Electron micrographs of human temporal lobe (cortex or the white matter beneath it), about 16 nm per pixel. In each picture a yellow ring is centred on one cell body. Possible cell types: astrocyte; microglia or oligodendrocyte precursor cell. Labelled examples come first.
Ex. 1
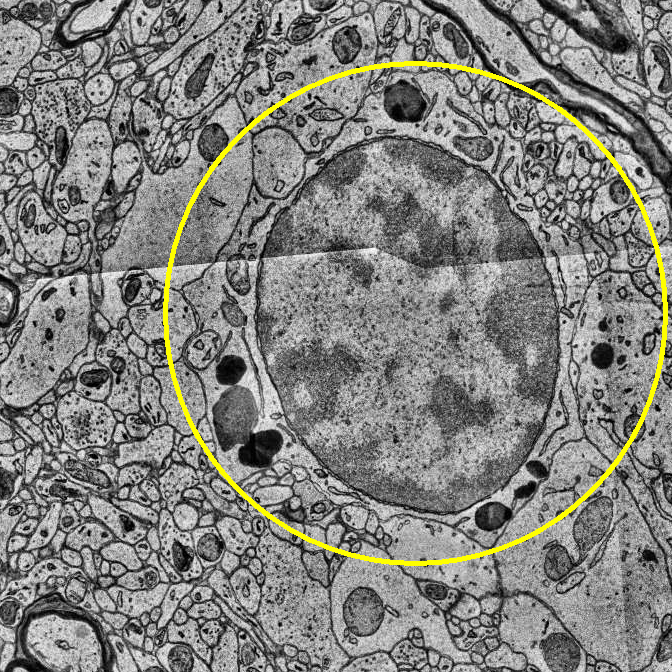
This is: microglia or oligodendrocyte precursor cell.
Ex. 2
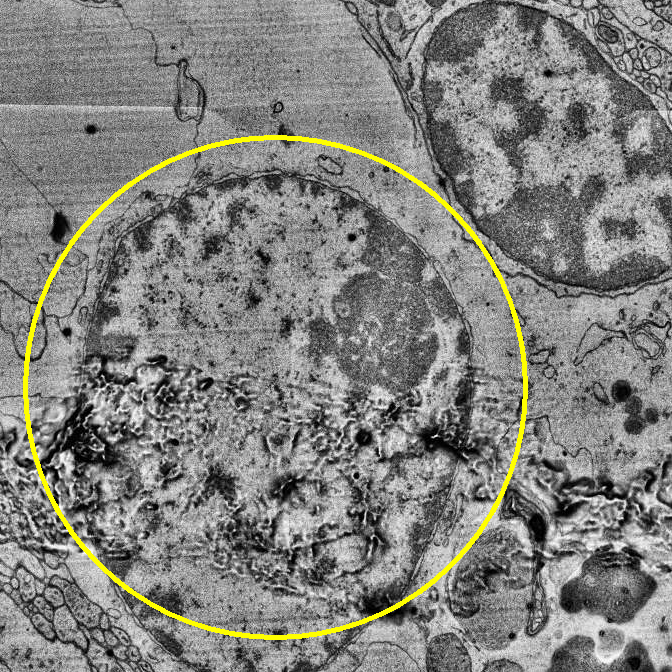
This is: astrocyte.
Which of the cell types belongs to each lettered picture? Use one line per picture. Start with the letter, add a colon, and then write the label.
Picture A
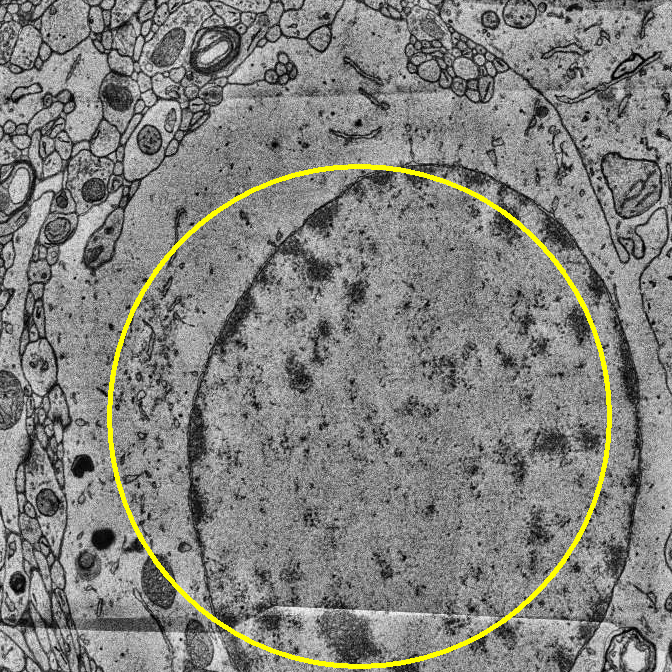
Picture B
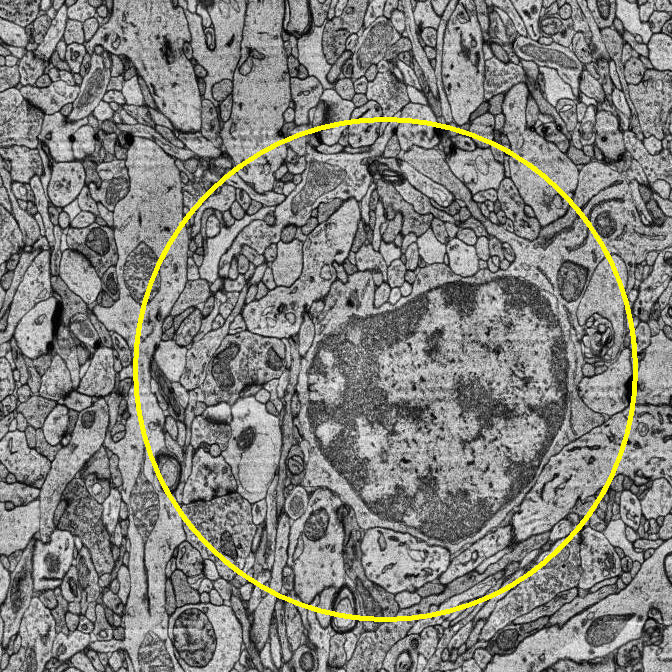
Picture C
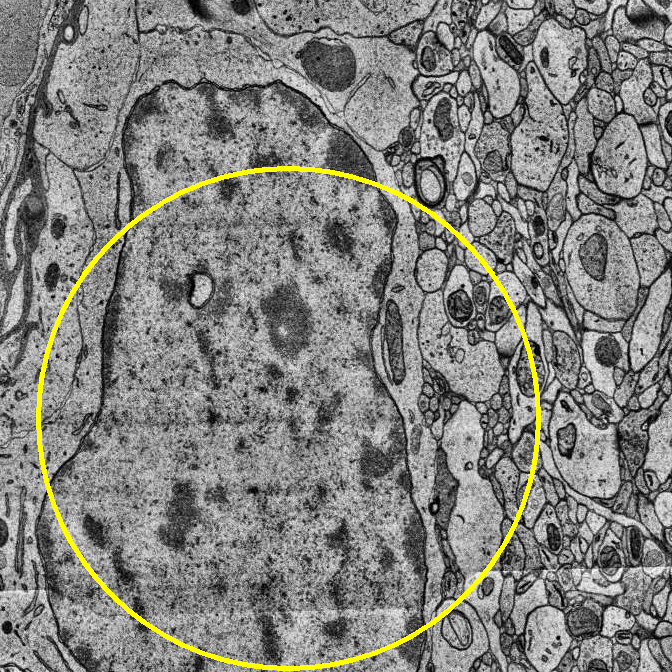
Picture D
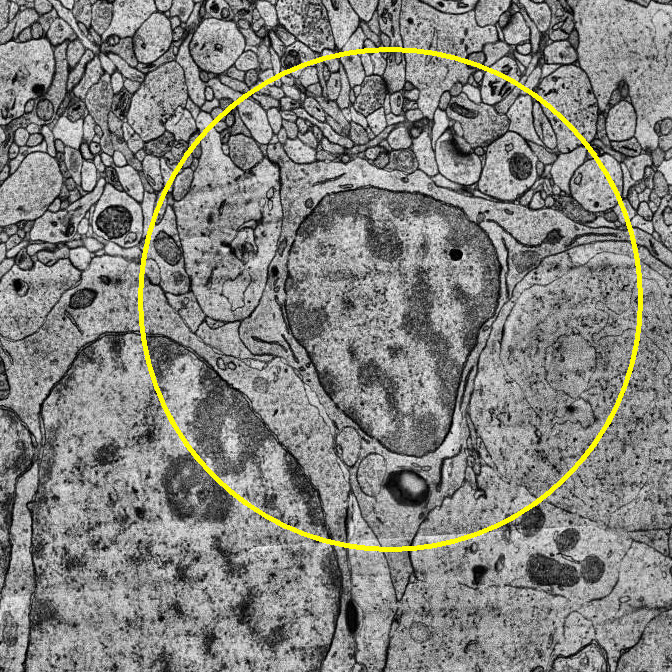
A: astrocyte.
B: microglia or oligodendrocyte precursor cell.
C: microglia or oligodendrocyte precursor cell.
D: microglia or oligodendrocyte precursor cell.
